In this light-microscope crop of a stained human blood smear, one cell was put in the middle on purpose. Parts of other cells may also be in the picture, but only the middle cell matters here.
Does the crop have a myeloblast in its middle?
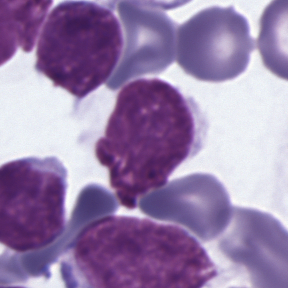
yes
